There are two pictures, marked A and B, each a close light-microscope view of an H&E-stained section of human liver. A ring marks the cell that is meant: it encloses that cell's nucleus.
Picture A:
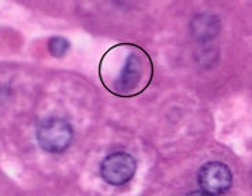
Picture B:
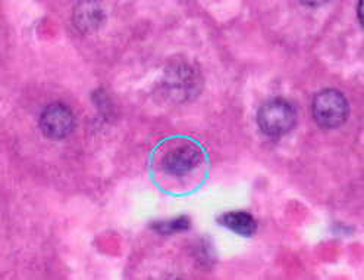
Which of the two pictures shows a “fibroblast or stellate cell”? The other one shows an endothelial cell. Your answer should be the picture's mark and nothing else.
B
